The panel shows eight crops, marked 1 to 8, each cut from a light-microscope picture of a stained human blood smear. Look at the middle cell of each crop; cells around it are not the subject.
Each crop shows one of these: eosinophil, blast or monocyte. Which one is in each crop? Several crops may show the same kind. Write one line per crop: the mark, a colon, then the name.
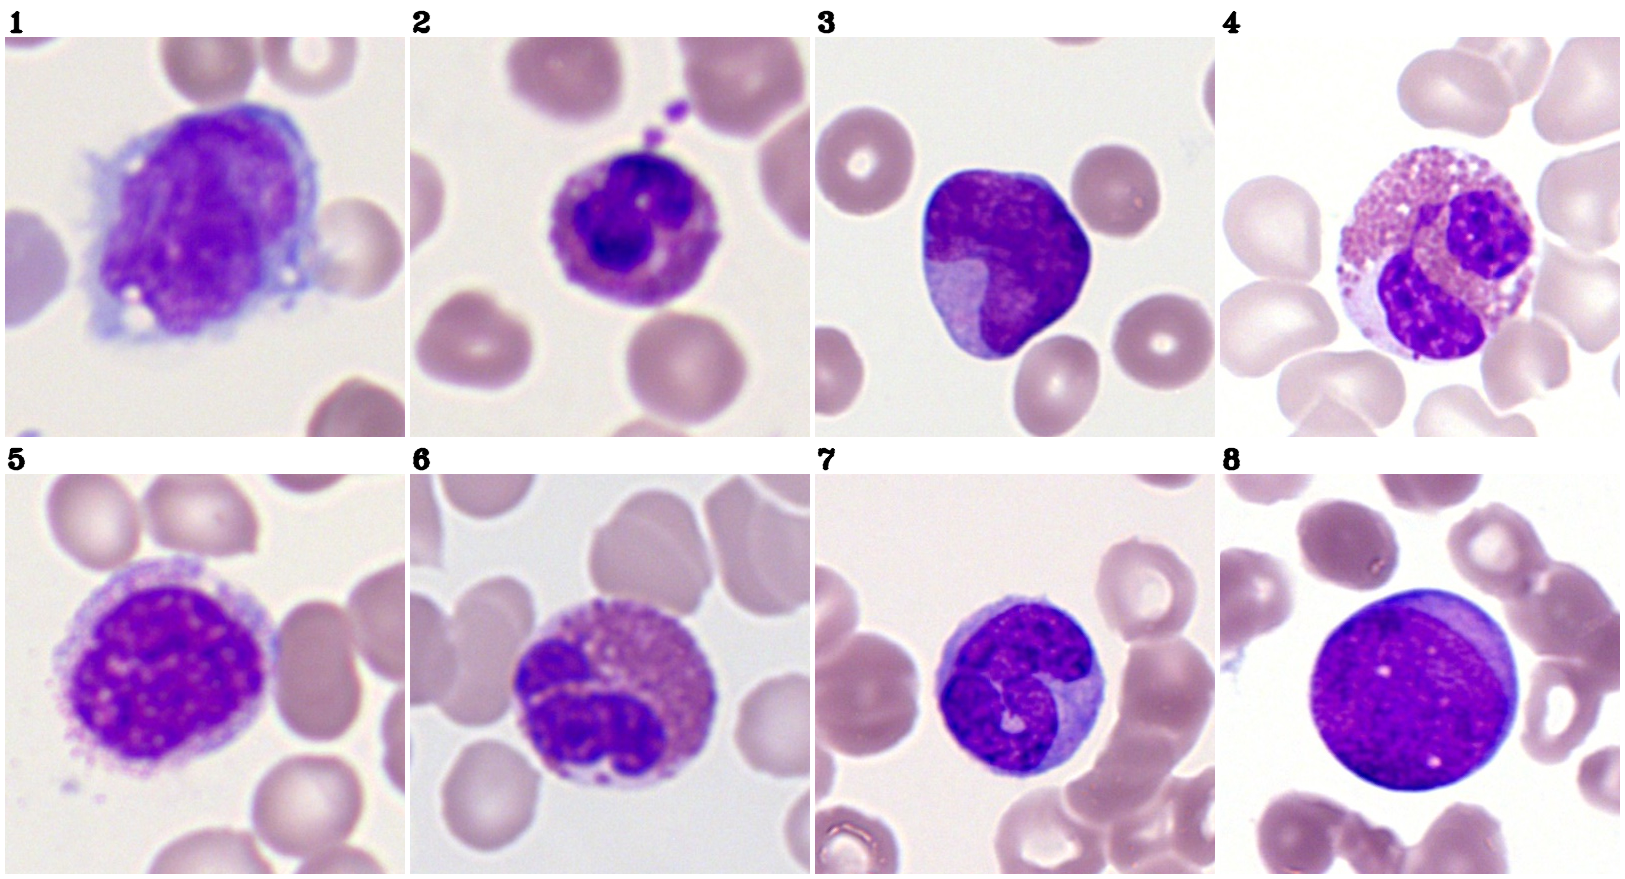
1: monocyte
2: eosinophil
3: blast
4: eosinophil
5: monocyte
6: eosinophil
7: monocyte
8: blast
